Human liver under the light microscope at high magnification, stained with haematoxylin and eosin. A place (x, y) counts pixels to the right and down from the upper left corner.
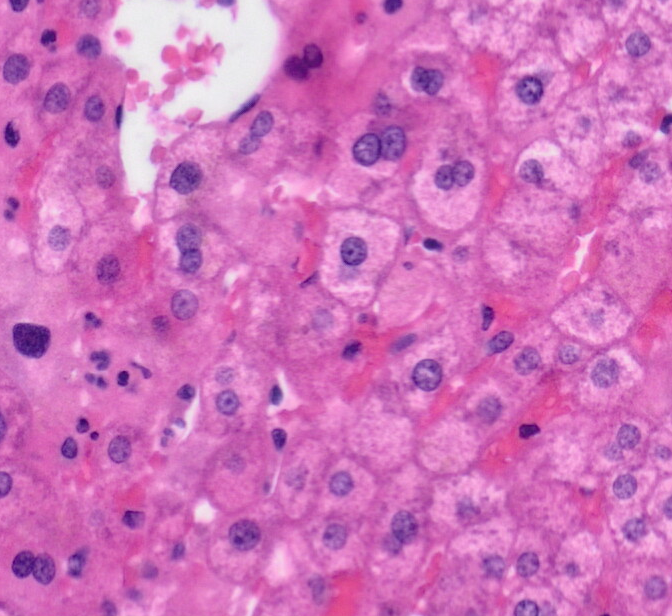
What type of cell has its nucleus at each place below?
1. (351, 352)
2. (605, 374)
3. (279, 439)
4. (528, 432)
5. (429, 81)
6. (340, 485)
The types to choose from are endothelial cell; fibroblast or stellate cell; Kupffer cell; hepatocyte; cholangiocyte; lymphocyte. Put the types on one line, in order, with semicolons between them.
fibroblast or stellate cell; hepatocyte; lymphocyte; lymphocyte; hepatocyte; hepatocyte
